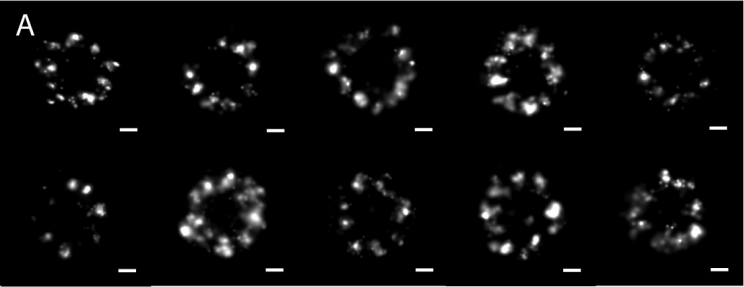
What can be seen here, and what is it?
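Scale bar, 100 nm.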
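In every image the signal lies in discrete clusters of puncta spaced around a roughly circular ring with a dark, largely empty centre. The rings differ from one another: some are rounder and some slightly elliptical, and the clusters vary in brightness and in how evenly they are spaced. A few scattered faint localizations lie inside and outside the rings.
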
